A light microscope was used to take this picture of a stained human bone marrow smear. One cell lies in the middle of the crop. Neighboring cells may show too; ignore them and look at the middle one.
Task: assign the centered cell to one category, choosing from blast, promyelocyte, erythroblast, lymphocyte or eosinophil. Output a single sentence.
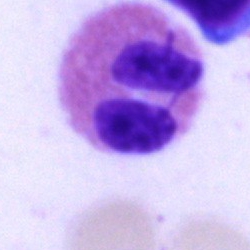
The cell occupying the middle of the crop is an eosinophil.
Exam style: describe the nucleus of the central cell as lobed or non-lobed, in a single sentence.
The nucleus has been partitioned into two or more lobes.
